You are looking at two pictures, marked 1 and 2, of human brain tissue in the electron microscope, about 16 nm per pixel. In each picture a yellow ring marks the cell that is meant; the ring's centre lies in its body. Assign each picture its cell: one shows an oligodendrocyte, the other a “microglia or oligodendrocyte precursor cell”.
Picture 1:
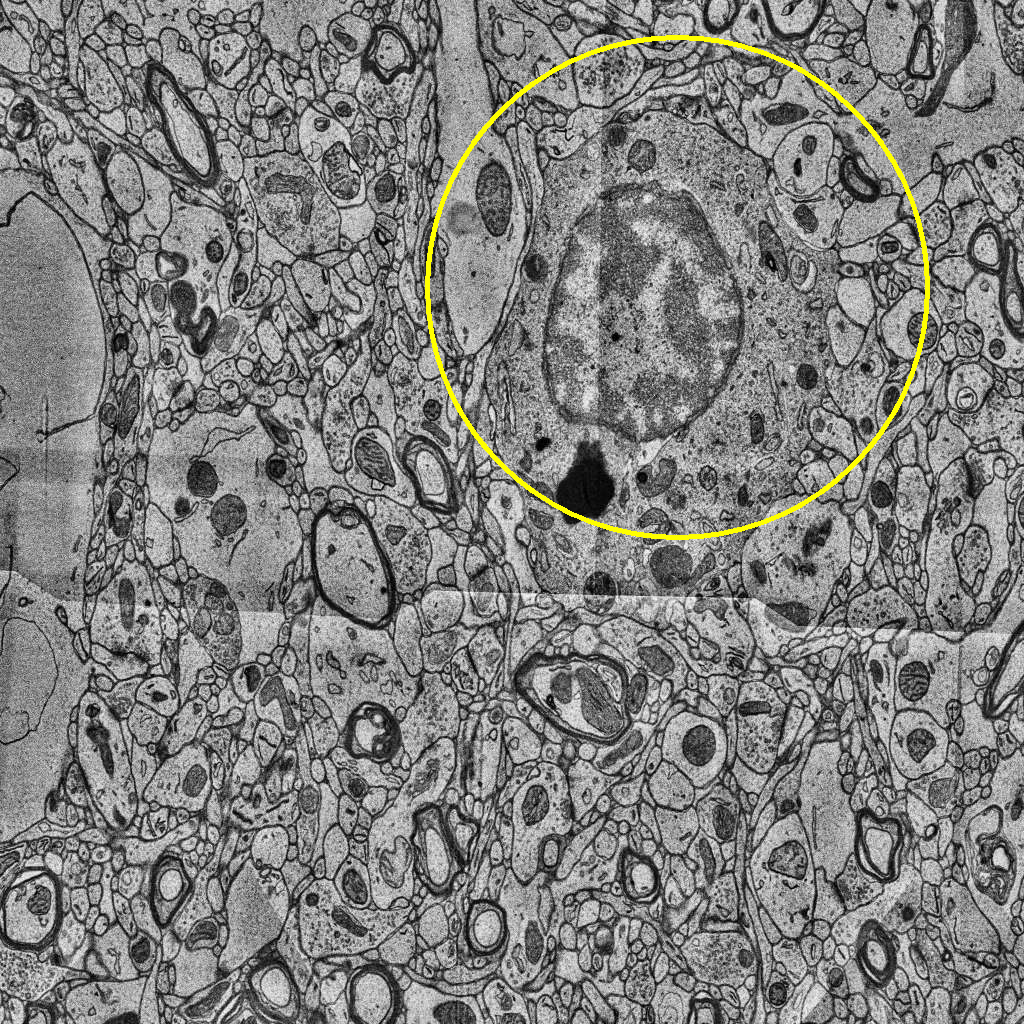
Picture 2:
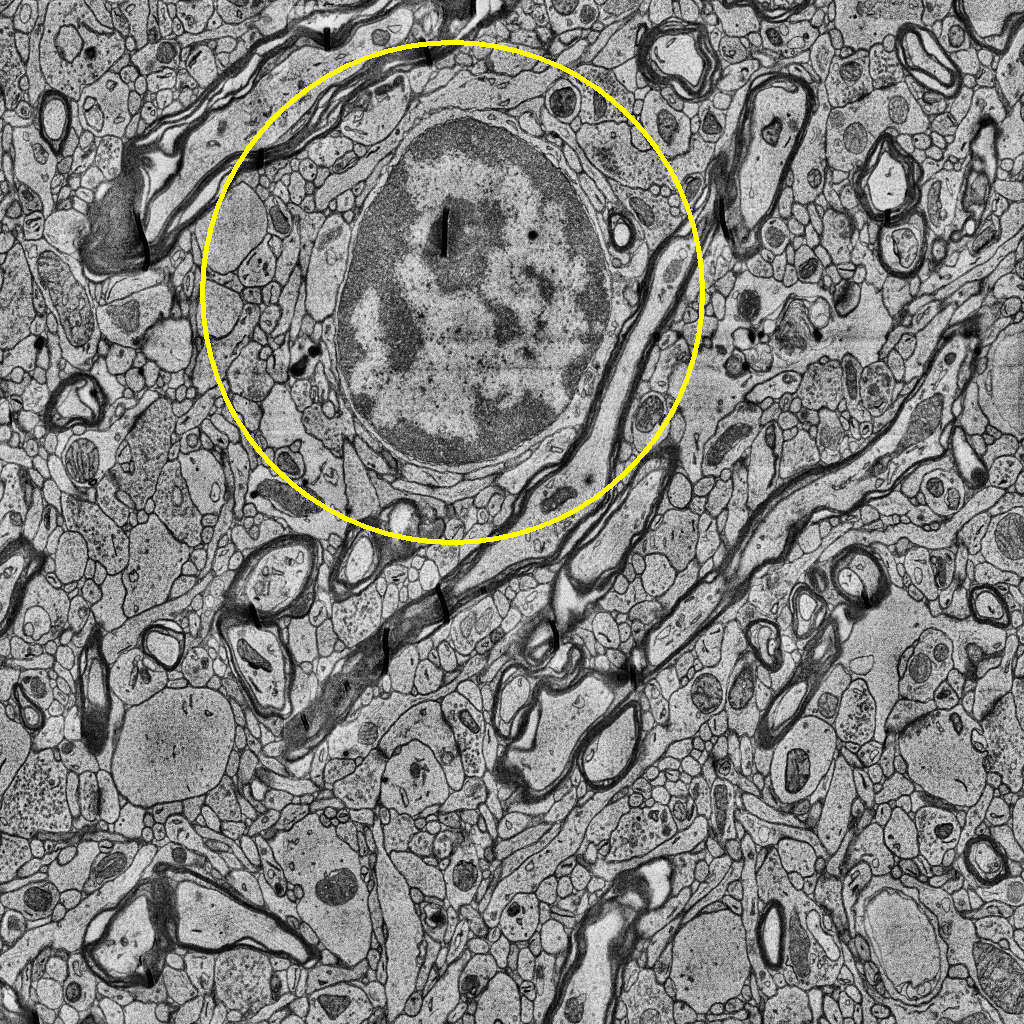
In picture 1 the cell is an oligodendrocyte; in picture 2, a “microglia or oligodendrocyte precursor cell”.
